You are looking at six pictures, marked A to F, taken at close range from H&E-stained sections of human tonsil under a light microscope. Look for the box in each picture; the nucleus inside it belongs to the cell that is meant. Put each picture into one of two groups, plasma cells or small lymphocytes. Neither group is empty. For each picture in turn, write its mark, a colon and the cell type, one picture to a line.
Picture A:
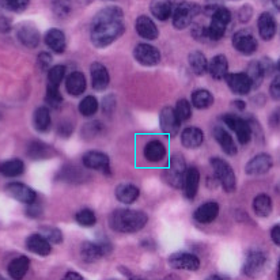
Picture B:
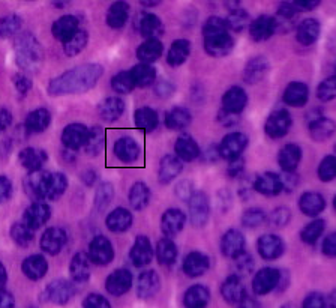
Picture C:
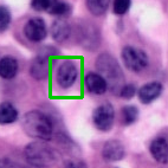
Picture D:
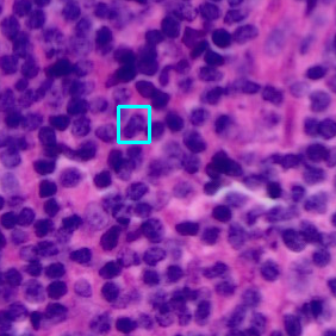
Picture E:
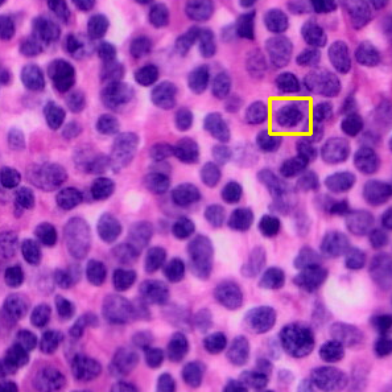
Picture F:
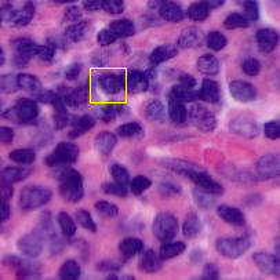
A: plasma cell
B: plasma cell
C: plasma cell
D: small lymphocyte
E: small lymphocyte
F: small lymphocyte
